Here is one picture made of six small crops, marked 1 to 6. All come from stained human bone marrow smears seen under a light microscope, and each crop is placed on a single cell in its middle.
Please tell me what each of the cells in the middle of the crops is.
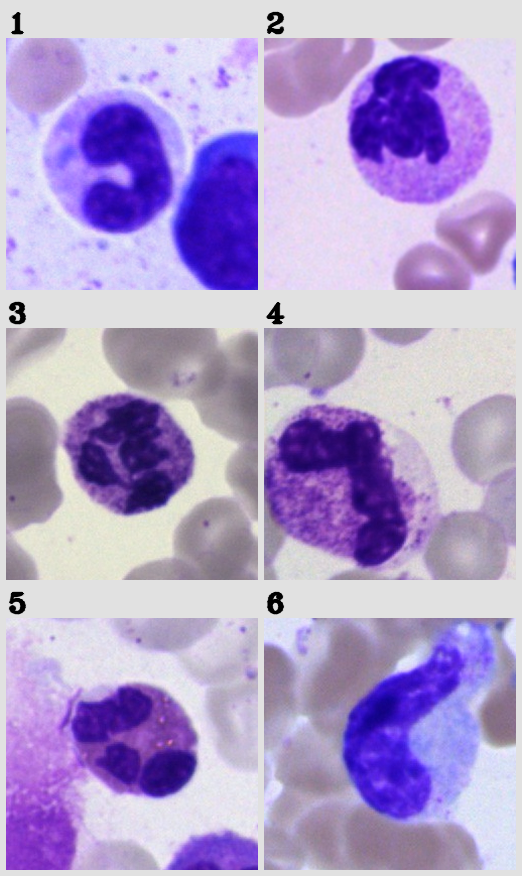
1: band neutrophil
2: segmented neutrophil
3: segmented neutrophil
4: segmented neutrophil
5: eosinophil
6: band neutrophil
